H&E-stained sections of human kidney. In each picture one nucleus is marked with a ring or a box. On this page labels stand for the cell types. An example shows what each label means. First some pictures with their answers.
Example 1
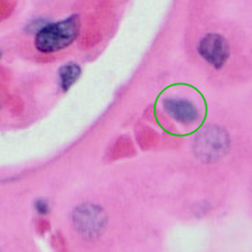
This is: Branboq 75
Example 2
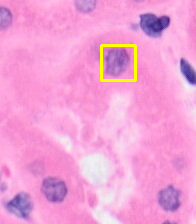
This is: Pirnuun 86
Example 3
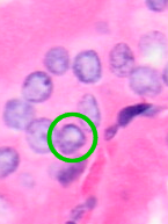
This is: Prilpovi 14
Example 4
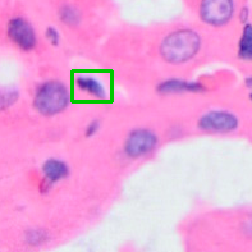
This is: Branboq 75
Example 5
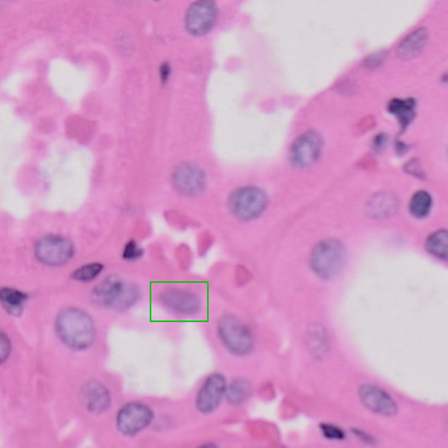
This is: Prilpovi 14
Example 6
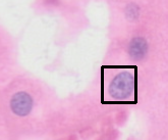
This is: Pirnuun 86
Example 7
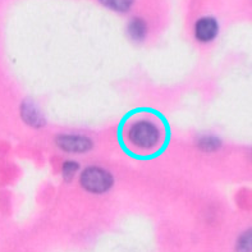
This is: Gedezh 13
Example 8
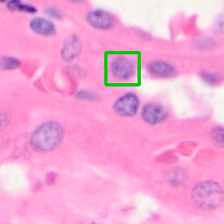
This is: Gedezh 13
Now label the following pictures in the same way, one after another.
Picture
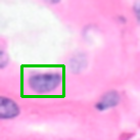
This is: Gedezh 13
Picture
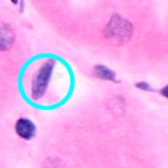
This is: Branboq 75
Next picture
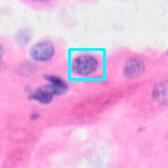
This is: Gedezh 13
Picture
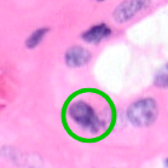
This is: Prilpovi 14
